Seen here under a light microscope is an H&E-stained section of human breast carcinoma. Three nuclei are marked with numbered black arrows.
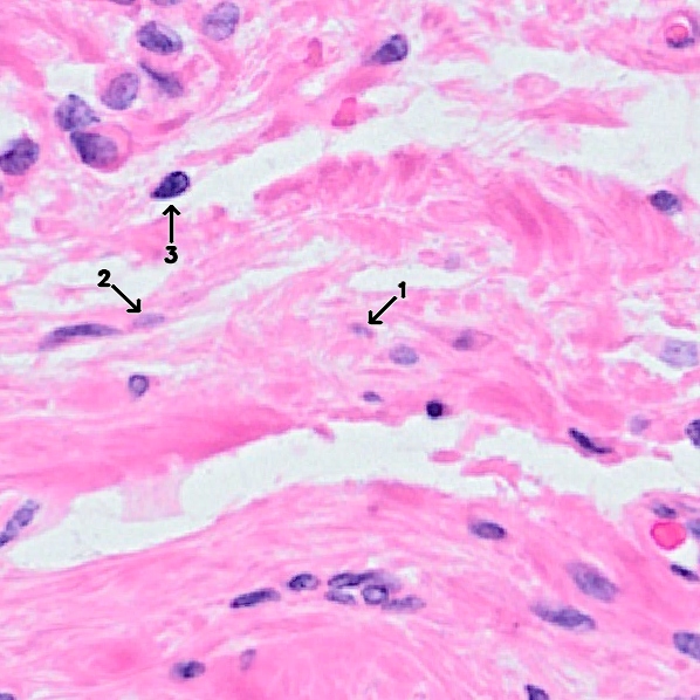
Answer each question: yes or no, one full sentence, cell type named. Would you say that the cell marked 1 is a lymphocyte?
No, the cell given number 1 is a fibroblast, as opposed to a lymphocyte.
